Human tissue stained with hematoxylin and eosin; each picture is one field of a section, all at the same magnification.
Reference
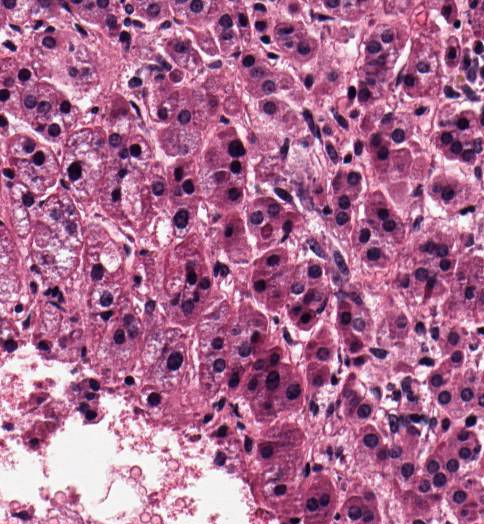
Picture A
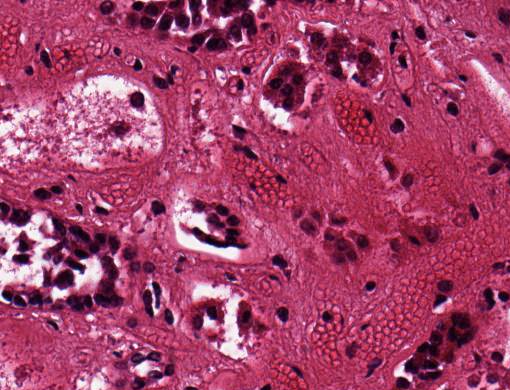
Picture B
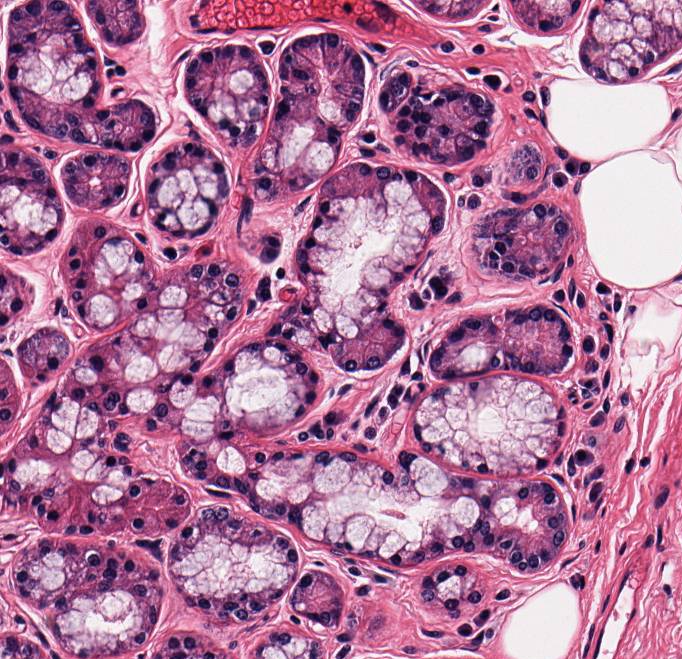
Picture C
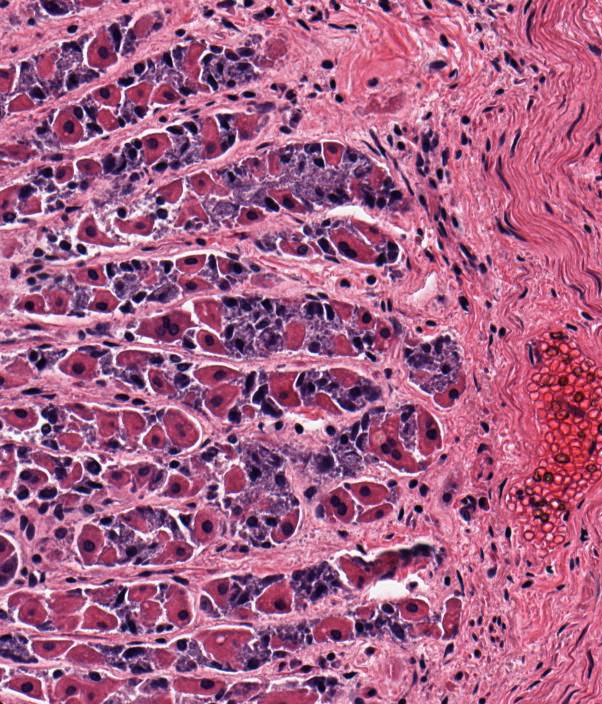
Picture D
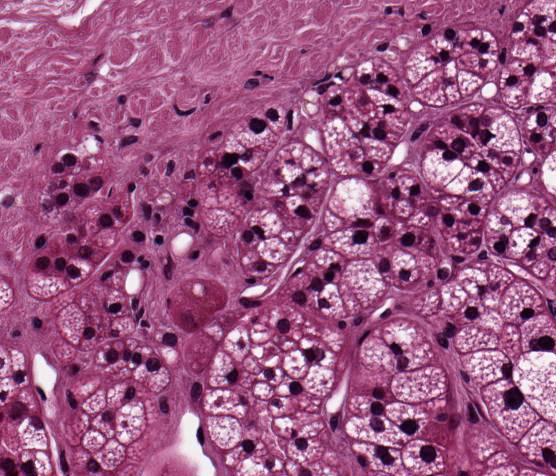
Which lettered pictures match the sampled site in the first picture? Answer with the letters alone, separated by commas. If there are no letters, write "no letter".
D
